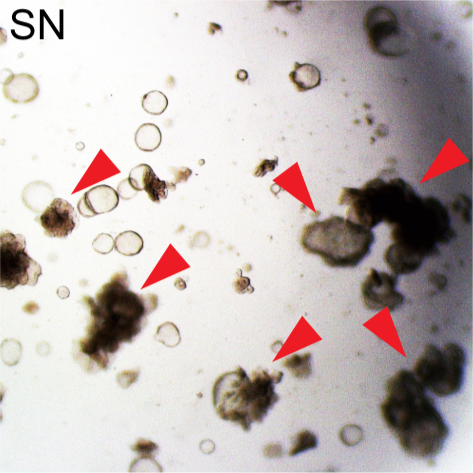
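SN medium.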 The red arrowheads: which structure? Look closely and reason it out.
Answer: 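The arrowheads point at large, dark, irregular masses with lobed outlines. Elsewhere the field holds smaller, clear, round spheres.
Answer: budding organoids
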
